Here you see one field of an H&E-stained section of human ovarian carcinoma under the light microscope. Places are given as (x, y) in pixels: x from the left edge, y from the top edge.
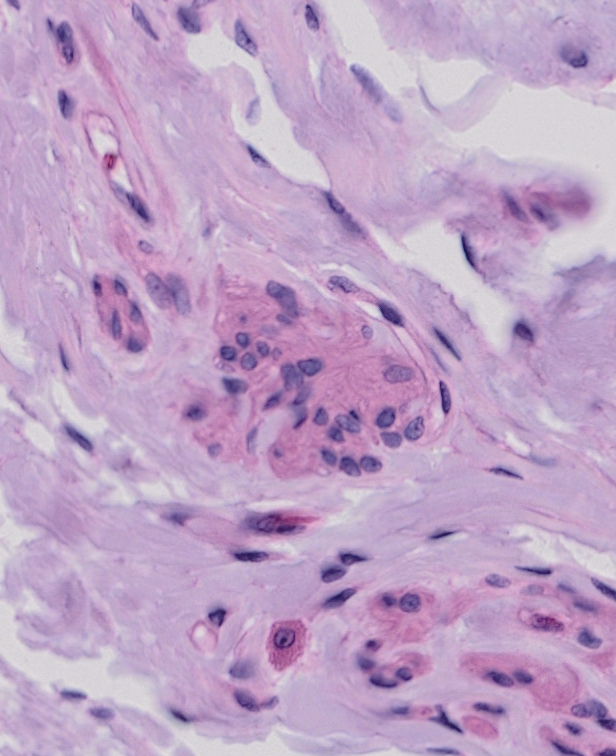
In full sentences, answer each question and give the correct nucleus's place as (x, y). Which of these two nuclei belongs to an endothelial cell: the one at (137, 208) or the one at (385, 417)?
Of the two, the nucleus at (137, 208) is the one contained in an endothelial cell.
